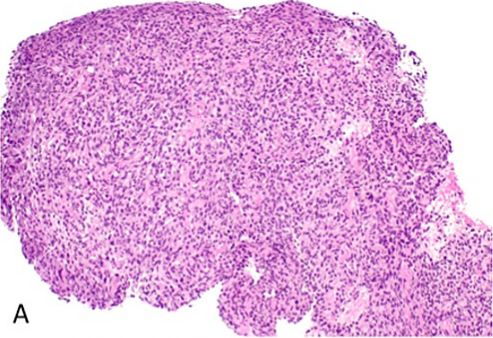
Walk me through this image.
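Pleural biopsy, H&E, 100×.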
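Purple nuclei are packed closely together in sheets and streaming bundles across the whole fragment. Small pale pink areas of stroma are scattered among the cells, and the edge of the fragment is irregular.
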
